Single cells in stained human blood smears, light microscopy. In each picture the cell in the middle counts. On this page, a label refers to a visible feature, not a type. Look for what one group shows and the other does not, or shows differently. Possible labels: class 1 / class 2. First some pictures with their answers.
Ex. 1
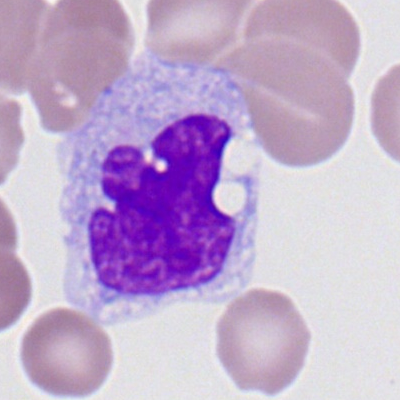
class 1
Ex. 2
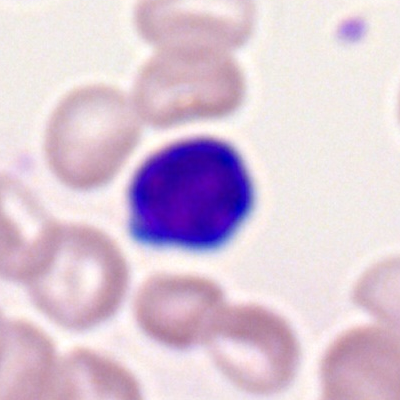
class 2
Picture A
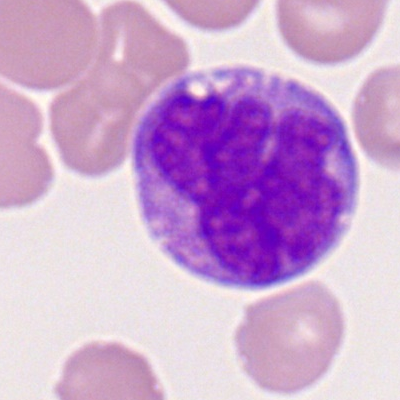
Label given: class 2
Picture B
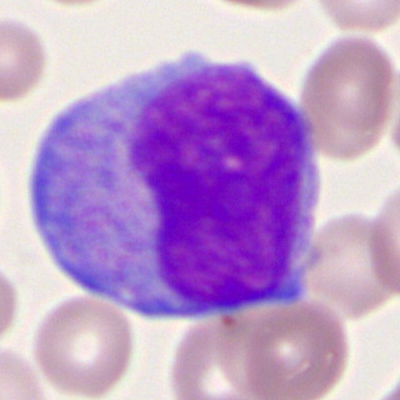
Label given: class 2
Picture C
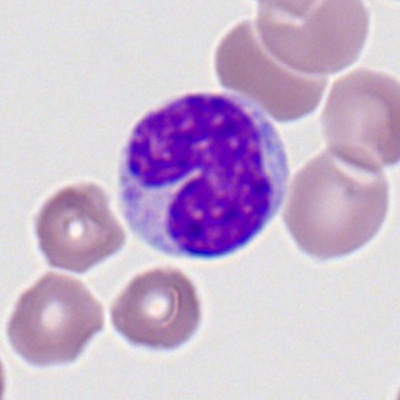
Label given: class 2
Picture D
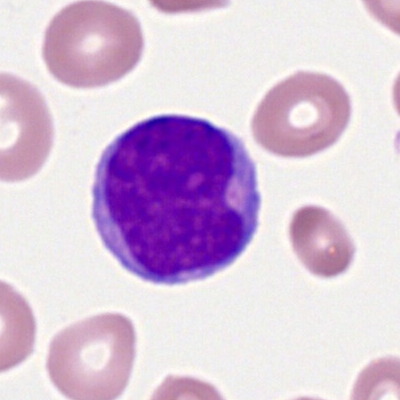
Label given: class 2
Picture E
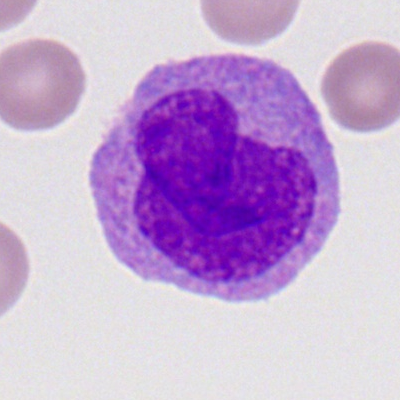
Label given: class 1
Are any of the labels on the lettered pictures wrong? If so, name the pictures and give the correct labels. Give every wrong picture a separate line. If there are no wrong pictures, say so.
B: not class 2 but class 1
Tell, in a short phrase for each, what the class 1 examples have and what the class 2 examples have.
In class 1: abundant cytoplasm. In class 2: scant cytoplasm.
